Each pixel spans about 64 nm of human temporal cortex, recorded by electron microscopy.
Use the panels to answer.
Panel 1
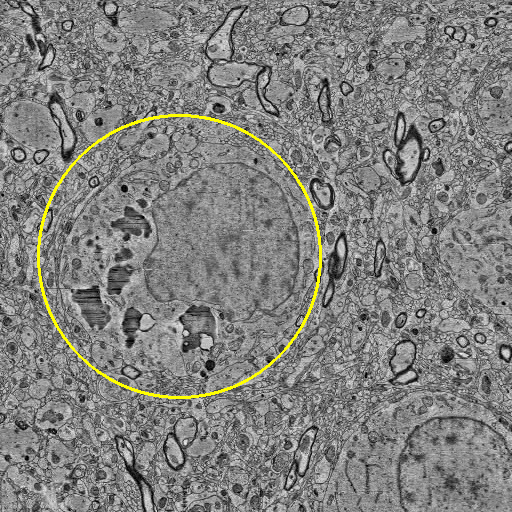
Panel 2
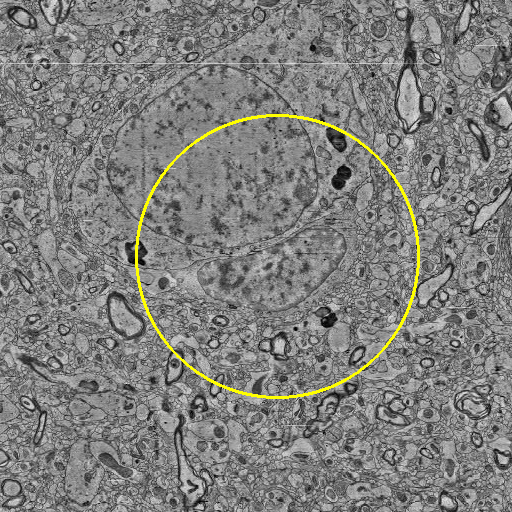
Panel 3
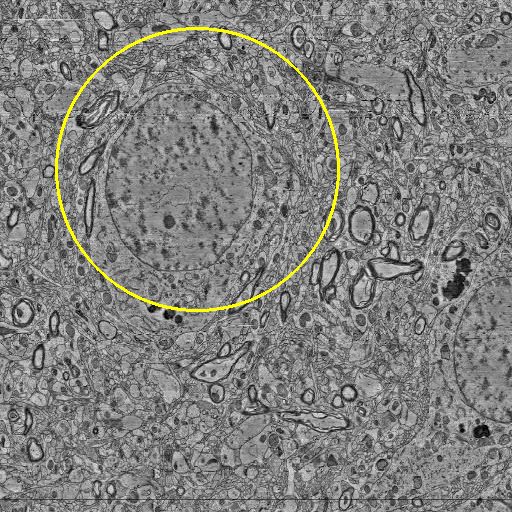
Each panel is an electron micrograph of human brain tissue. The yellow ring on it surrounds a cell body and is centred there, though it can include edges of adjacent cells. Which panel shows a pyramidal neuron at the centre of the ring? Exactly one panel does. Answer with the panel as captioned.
Panel 3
